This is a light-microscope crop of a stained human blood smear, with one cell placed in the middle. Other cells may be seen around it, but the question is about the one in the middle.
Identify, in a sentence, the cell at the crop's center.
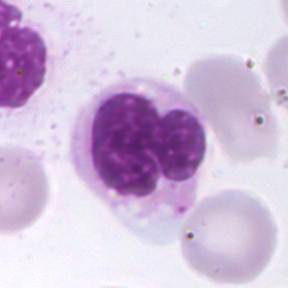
The cell under consideration, at the middle of the crop, is a band neutrophil.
